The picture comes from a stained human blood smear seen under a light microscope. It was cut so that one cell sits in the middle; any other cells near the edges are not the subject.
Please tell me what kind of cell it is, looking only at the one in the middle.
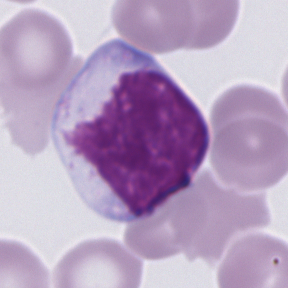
large granular lymphocyte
